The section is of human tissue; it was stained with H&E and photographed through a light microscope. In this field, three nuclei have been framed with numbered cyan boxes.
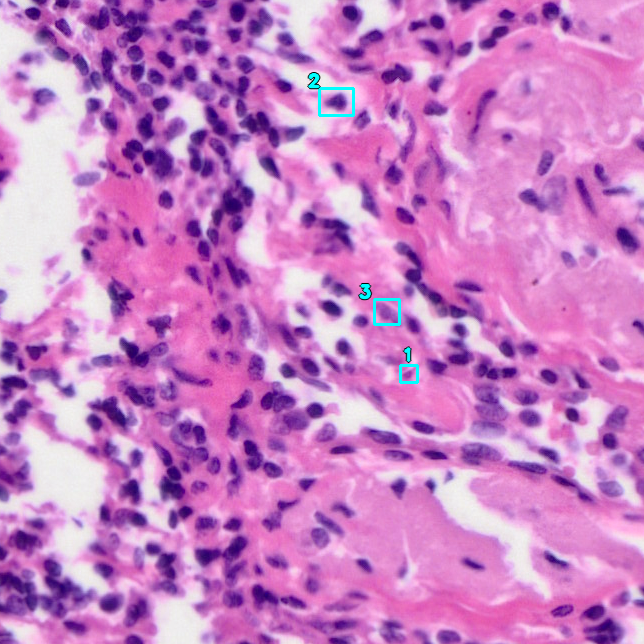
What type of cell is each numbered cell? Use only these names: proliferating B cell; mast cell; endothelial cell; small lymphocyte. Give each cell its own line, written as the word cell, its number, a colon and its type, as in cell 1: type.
cell 1: endothelial cell
cell 2: mast cell
cell 3: endothelial cell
